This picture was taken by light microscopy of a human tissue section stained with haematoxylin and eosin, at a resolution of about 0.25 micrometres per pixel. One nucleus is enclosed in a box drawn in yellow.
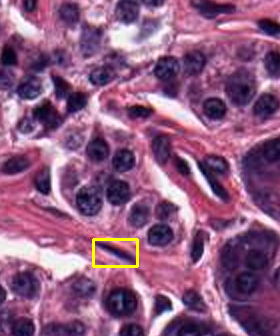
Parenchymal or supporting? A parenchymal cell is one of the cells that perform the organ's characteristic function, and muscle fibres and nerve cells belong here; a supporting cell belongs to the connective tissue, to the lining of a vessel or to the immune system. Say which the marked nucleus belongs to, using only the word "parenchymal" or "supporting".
supporting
